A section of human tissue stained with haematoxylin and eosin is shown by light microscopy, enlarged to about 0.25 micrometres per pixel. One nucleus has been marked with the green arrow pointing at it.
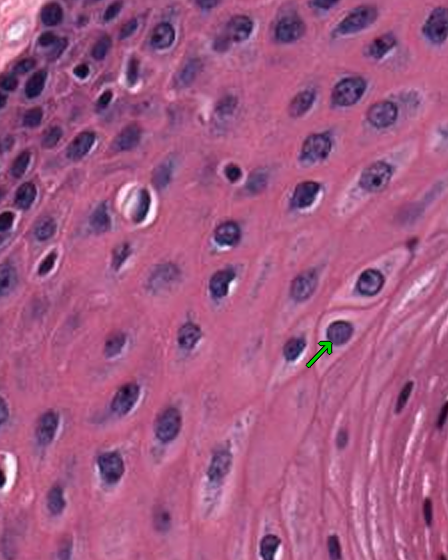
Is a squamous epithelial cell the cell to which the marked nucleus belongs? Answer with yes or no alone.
yes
